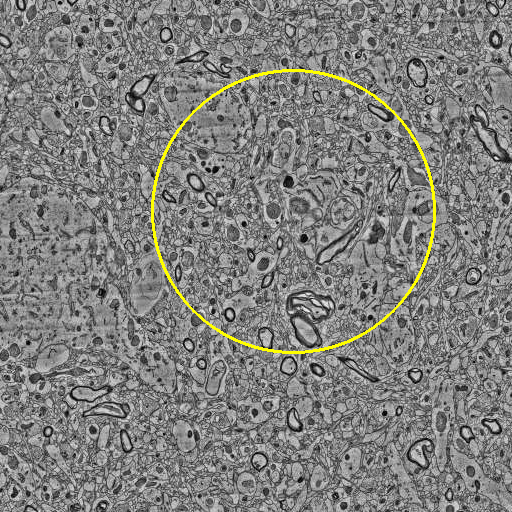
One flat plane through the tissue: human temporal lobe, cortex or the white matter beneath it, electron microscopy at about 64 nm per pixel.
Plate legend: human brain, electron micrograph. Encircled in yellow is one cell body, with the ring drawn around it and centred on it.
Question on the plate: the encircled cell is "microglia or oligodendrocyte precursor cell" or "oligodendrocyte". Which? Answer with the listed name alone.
microglia or oligodendrocyte precursor cell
